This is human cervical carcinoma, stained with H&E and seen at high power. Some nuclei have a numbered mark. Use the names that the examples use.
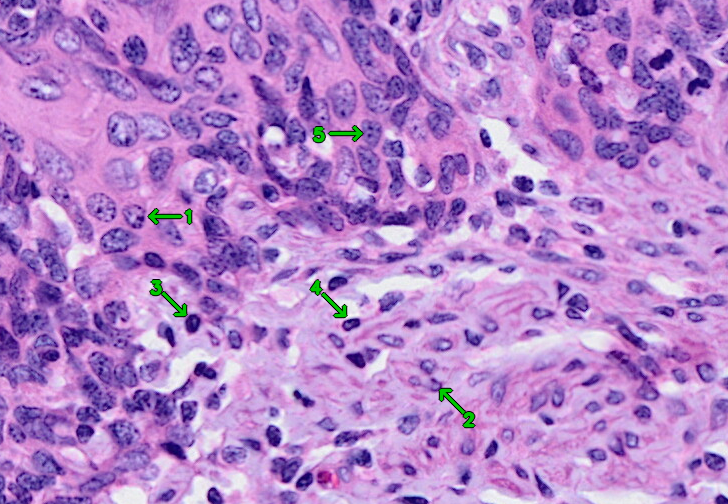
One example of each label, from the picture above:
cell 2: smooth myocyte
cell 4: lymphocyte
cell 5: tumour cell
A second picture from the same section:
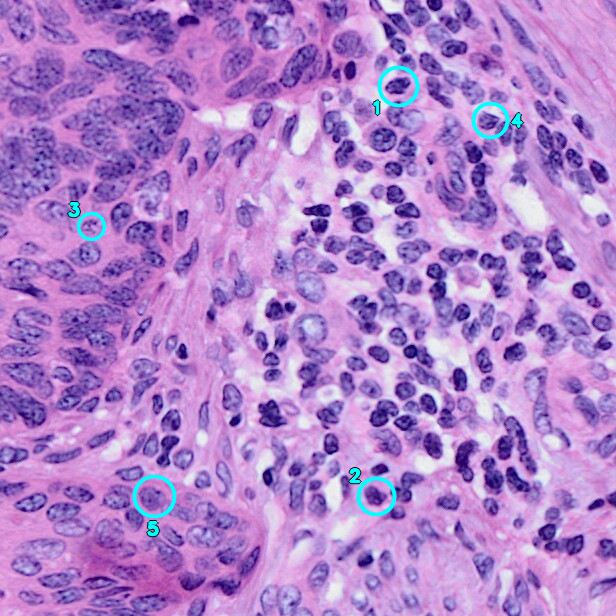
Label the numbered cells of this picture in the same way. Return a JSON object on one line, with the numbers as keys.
{"1": "lymphocyte", "2": "lymphocyte", "3": "tumour cell", "4": "lymphocyte", "5": "tumour cell"}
